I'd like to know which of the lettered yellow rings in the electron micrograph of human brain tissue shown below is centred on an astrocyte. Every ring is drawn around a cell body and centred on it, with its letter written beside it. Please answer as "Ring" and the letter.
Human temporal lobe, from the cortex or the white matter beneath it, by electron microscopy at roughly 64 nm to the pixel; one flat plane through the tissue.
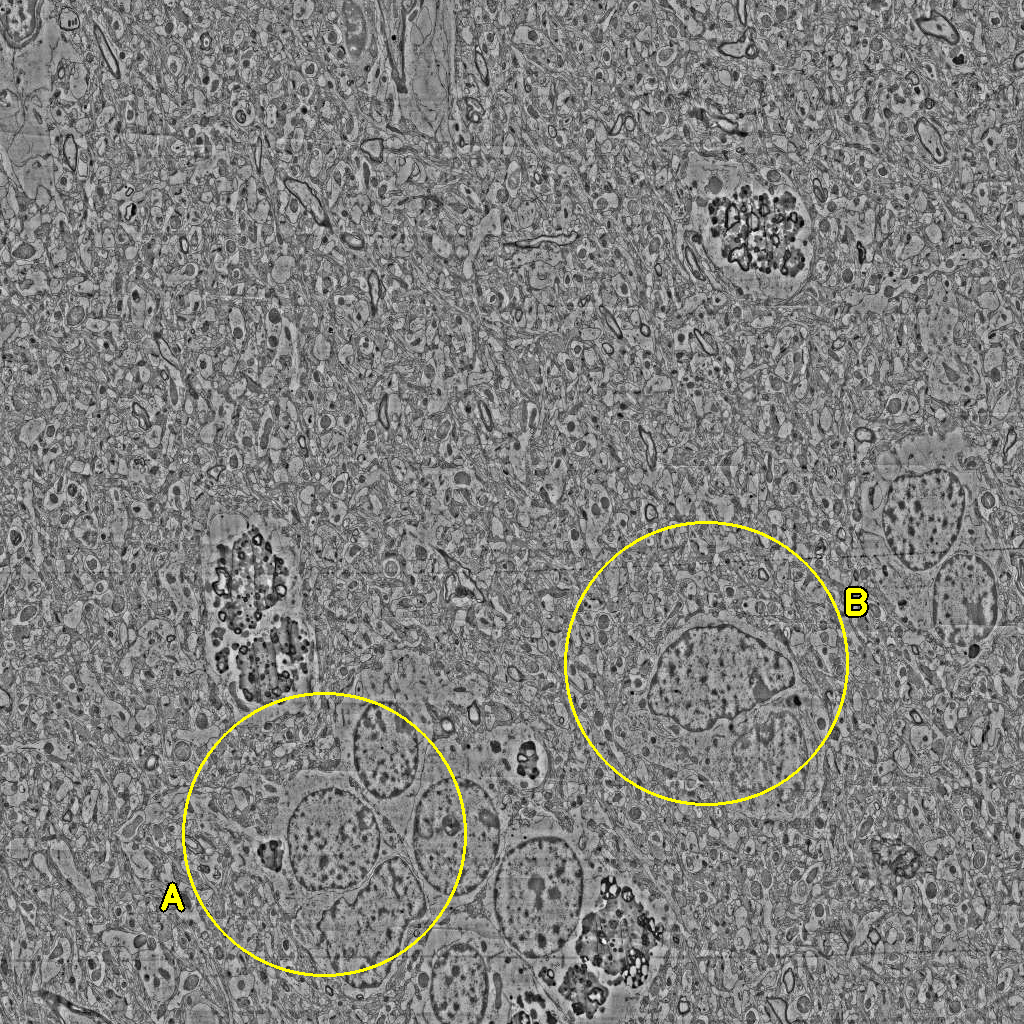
Ring A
